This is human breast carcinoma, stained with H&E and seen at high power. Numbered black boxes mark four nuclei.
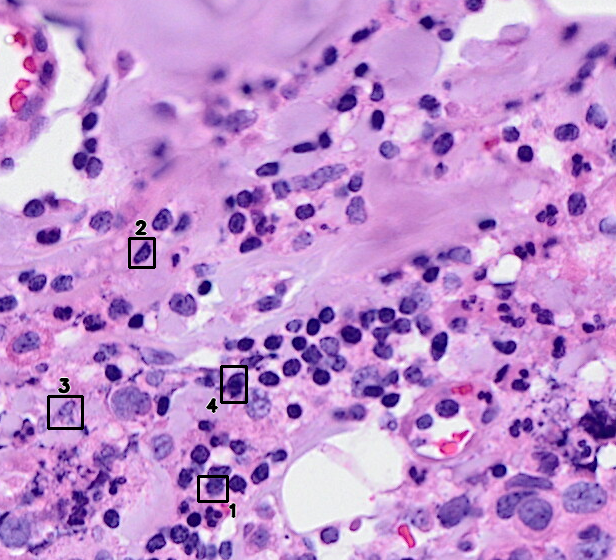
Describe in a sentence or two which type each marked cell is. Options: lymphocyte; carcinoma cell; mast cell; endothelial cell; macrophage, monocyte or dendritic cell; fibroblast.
Cell 1 is a lymphocyte, cell 2 is a lymphocyte, cell 3 is a macrophage, monocyte or dendritic cell and cell 4 is a lymphocyte.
